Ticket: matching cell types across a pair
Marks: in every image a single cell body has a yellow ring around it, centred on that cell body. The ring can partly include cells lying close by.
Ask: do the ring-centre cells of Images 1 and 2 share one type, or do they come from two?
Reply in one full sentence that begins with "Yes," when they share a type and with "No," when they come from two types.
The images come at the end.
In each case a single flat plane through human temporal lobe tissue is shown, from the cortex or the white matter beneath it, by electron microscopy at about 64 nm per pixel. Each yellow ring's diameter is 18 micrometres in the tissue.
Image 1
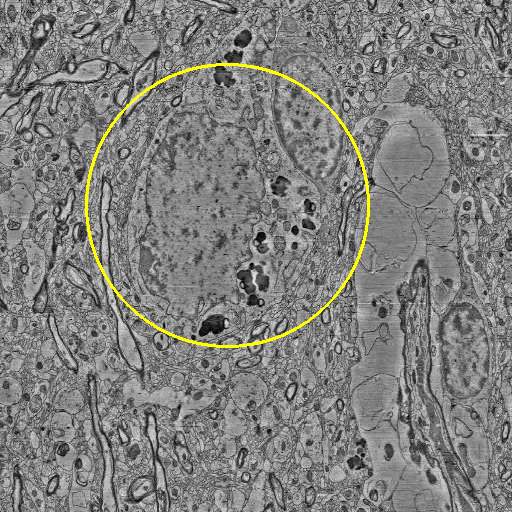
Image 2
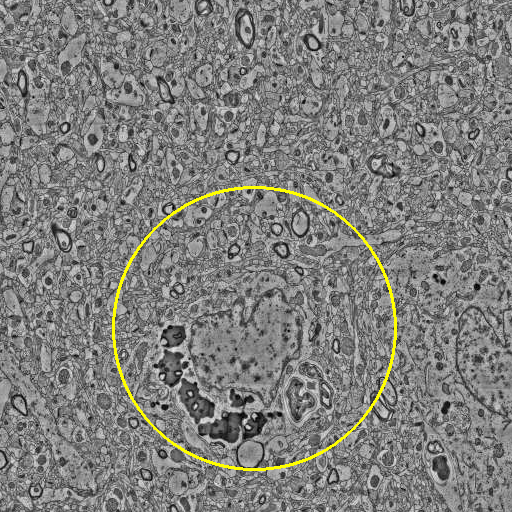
Yes, the cells in the centres of the rings in Image 1 and Image 2 share one type.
